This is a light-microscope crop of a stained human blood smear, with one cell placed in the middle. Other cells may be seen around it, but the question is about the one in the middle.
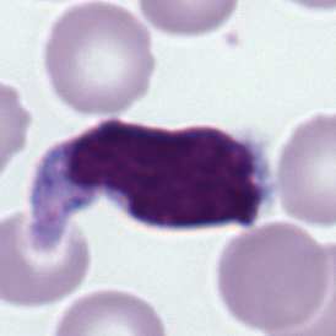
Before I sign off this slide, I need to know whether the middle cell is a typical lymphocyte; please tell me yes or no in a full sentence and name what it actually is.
Yes, the cell in the central position is a typical lymphocyte.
